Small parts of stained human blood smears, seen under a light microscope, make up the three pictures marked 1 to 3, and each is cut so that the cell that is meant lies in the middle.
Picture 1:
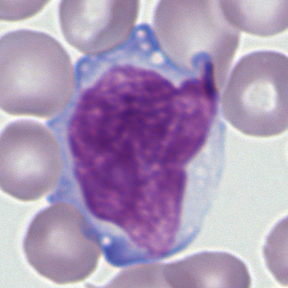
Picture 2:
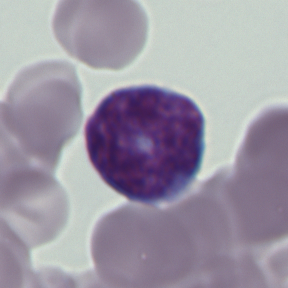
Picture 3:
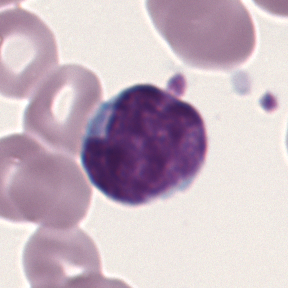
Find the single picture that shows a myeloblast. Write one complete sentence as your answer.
The myeloblast is the one in picture 1.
